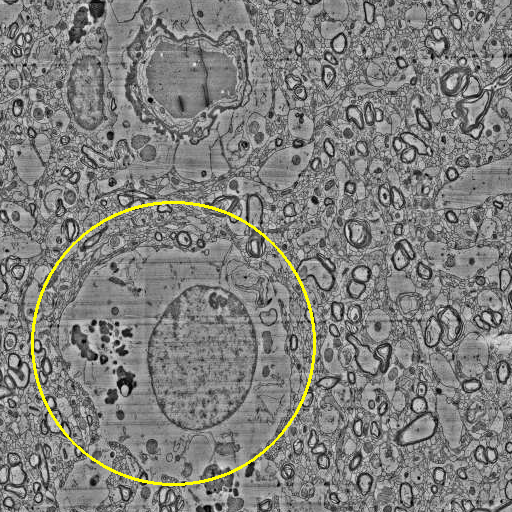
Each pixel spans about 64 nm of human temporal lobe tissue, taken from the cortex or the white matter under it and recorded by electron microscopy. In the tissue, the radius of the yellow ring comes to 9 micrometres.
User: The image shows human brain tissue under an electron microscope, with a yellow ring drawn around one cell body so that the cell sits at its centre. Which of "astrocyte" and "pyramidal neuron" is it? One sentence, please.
At the centre of the ring sits an astrocyte.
